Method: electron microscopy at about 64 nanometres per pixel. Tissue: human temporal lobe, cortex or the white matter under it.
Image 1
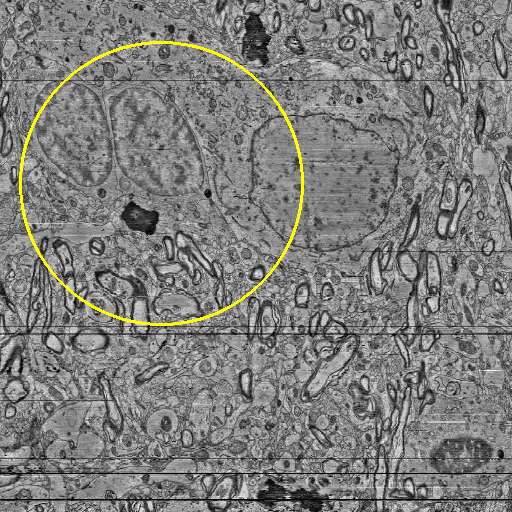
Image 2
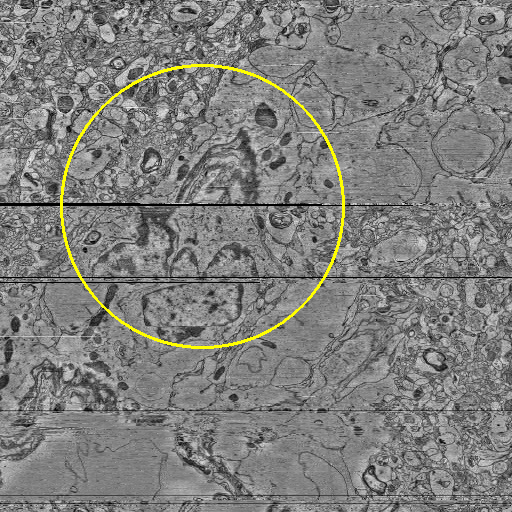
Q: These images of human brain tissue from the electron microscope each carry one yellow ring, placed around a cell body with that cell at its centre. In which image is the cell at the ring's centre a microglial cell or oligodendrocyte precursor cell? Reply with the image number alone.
2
